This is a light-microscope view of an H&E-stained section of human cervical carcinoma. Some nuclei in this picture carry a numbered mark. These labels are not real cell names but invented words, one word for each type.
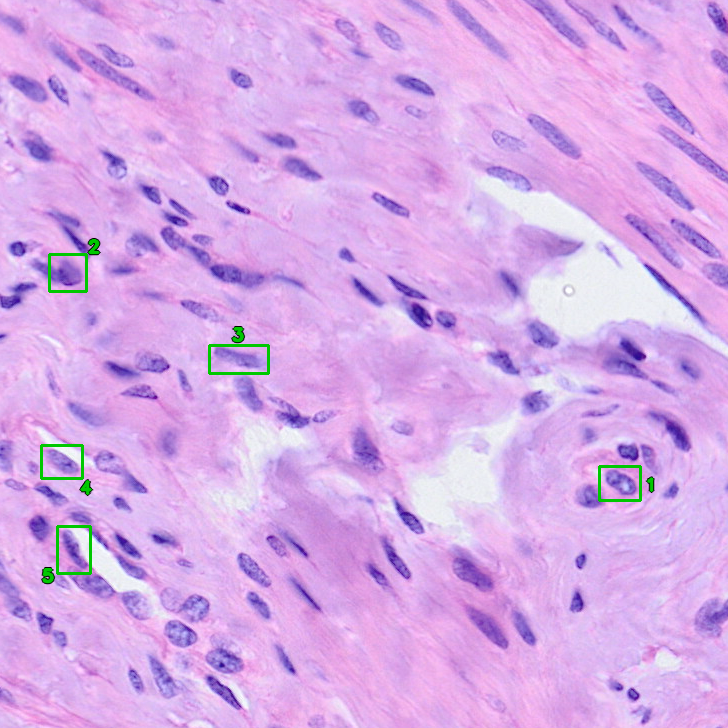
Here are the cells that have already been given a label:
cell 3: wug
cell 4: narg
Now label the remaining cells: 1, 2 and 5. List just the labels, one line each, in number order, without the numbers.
narg
wug
narg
